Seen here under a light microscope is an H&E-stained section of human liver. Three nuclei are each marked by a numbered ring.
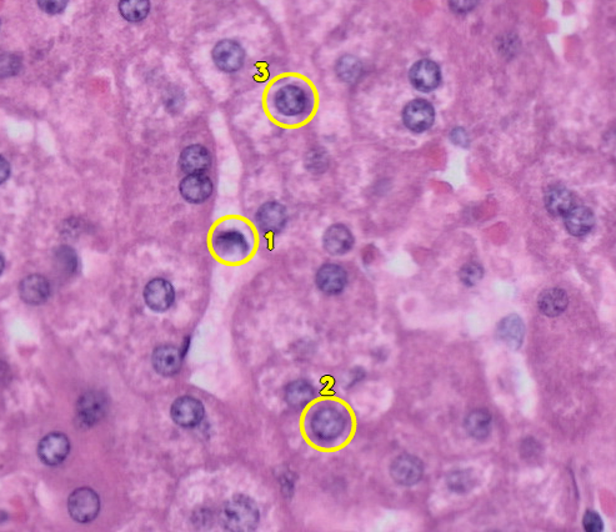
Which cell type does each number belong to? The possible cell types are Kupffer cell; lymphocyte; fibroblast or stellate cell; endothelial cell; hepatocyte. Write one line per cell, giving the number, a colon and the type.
1: endothelial cell
2: hepatocyte
3: hepatocyte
